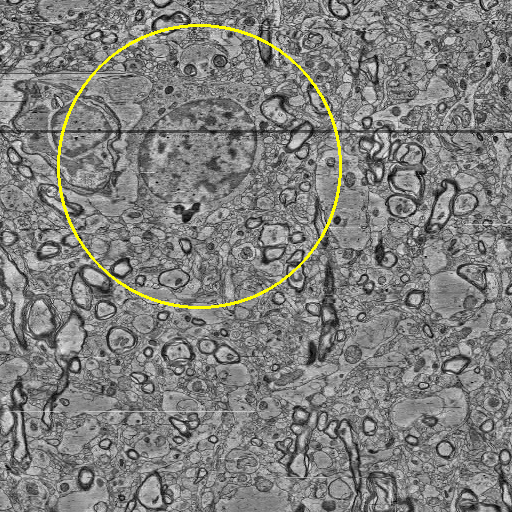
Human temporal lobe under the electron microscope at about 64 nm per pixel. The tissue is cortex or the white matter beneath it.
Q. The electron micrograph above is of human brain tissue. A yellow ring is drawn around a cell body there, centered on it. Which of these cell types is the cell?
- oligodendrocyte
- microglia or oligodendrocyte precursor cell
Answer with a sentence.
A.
The cell under the ring's center is an oligodendrocyte.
